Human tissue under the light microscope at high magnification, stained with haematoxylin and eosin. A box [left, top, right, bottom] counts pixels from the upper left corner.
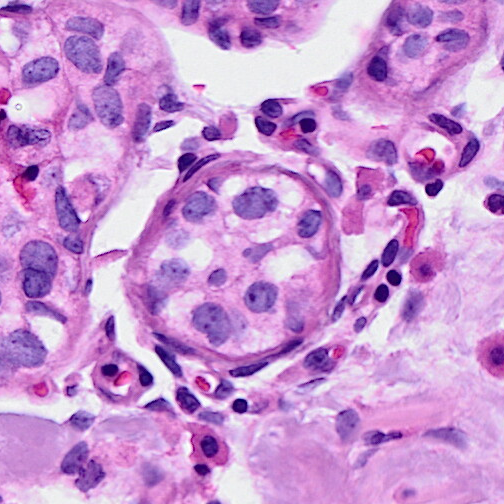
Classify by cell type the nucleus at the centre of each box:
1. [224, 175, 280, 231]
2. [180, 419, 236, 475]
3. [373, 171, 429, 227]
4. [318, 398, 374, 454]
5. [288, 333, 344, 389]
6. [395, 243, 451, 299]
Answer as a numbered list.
1. carcinoma cell
2. mast cell
3. endothelial cell
4. fibroblast
5. endothelial cell
6. mast cell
